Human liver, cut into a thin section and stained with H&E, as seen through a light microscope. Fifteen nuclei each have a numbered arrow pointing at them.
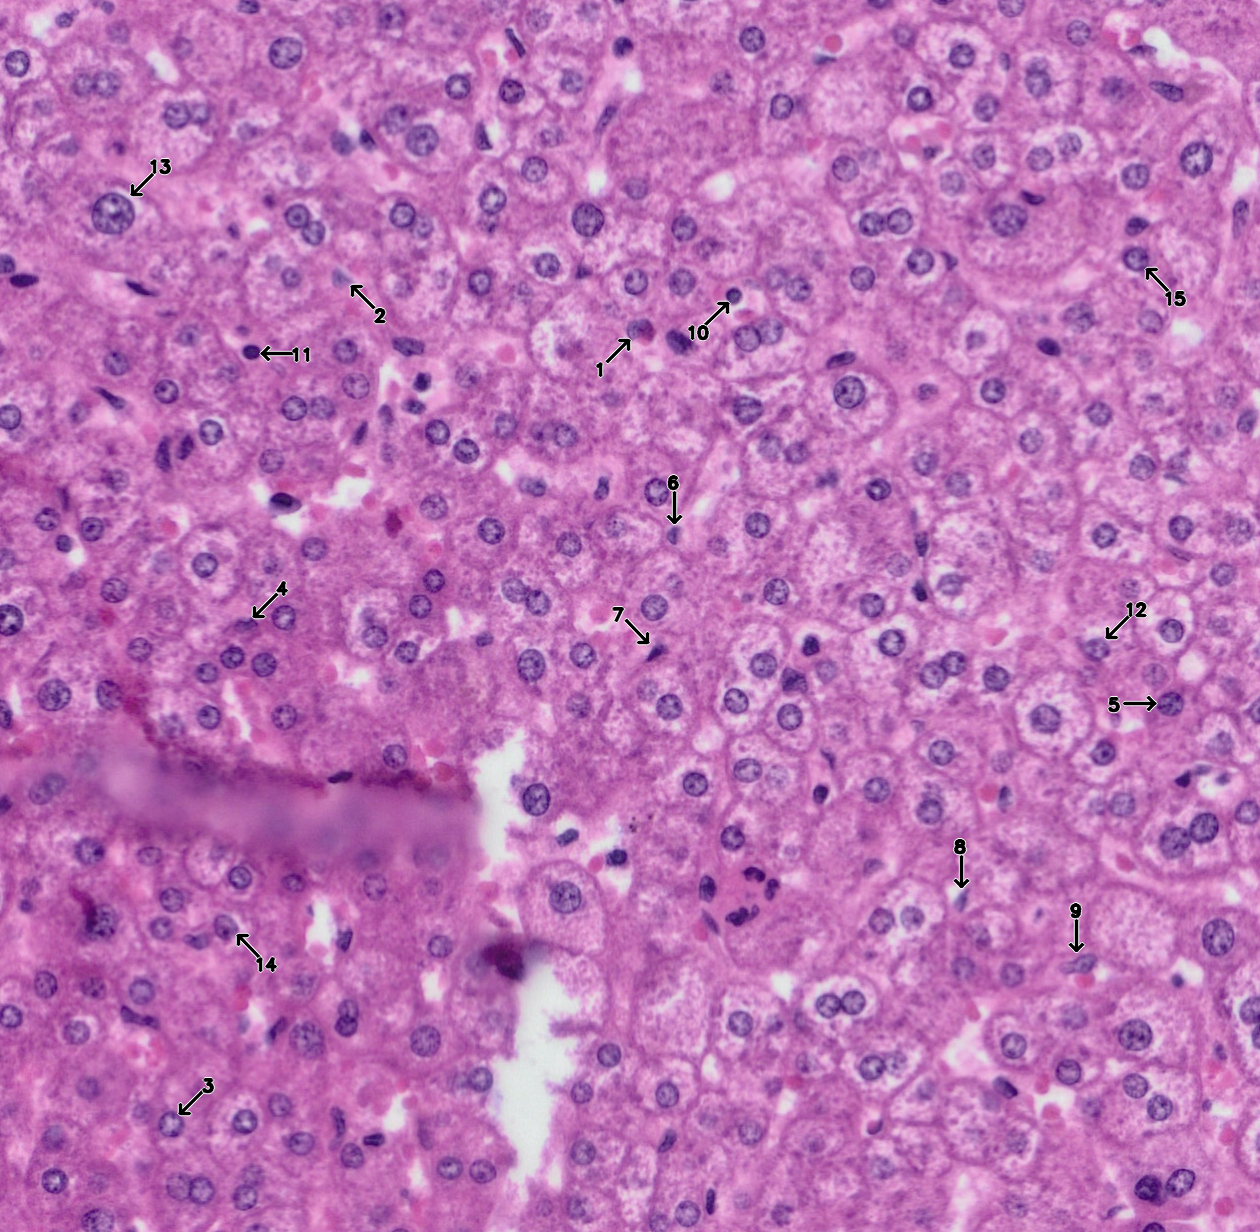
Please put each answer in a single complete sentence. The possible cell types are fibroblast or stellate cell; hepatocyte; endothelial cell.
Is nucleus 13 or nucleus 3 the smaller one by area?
Nucleus 3 covers less area, with nucleus 13 about 3 times as large.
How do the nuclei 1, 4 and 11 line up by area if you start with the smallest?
By area, going up from the smallest, they rank 11, 4, 1.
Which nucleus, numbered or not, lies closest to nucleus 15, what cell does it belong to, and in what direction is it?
The nearest nucleus is that of an endothelial cell and lies above nucleus 15.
